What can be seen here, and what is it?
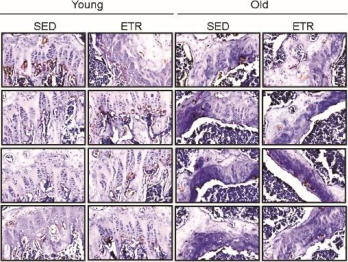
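These are small sections of bone with marrow, counterstained blue, with scattered brown staining over cells. The brown deposits are patchy, sitting along some bone surfaces and among the marrow cells.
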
